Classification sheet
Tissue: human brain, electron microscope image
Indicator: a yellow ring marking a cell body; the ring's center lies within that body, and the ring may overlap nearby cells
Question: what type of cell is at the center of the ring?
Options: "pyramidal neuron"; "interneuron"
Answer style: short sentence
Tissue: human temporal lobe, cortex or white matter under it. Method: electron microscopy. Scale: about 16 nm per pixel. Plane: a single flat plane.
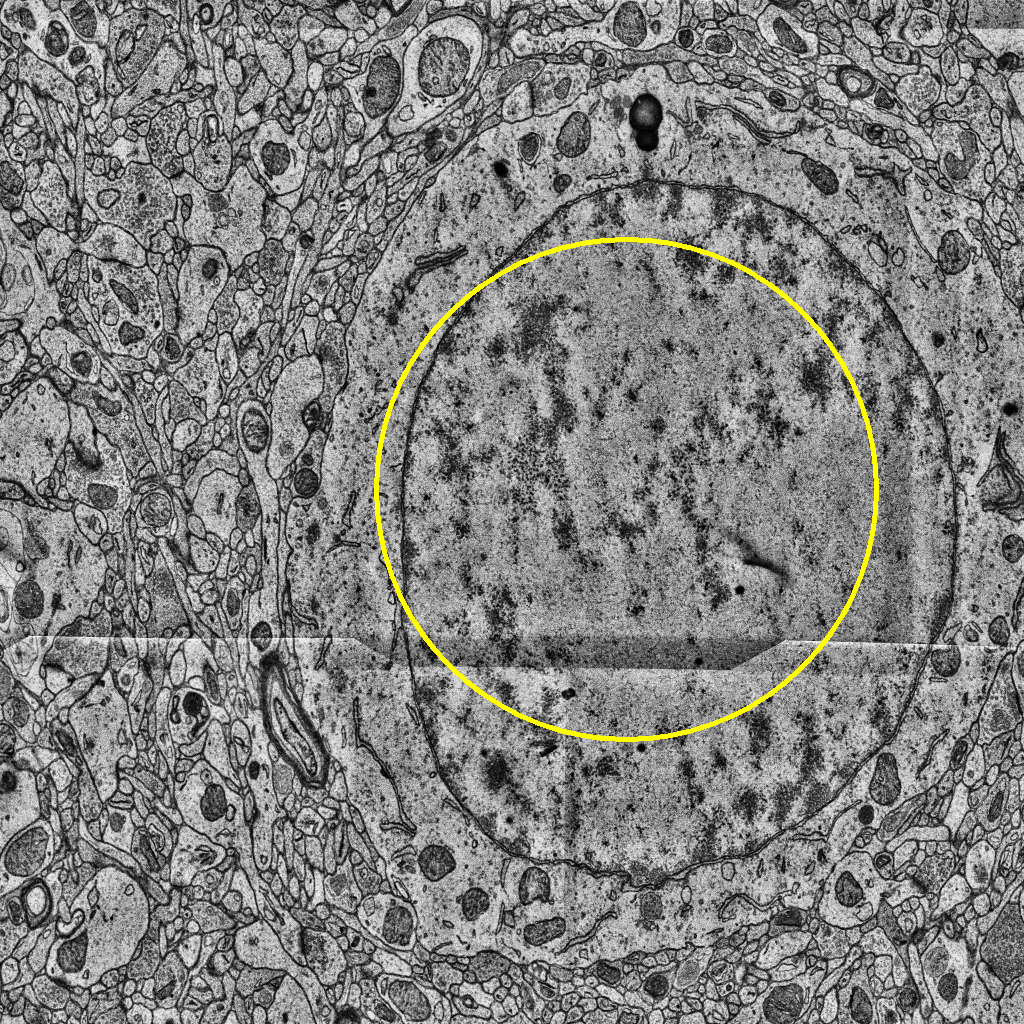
At the ring's center is a pyramidal neuron.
